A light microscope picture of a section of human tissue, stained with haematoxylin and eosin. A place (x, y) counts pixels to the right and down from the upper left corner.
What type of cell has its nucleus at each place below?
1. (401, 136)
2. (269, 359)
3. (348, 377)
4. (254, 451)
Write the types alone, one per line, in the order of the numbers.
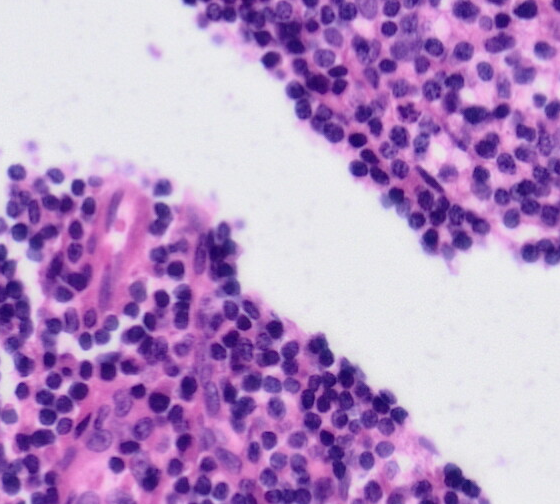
small lymphocyte
small lymphocyte
small lymphocyte
endothelial cell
